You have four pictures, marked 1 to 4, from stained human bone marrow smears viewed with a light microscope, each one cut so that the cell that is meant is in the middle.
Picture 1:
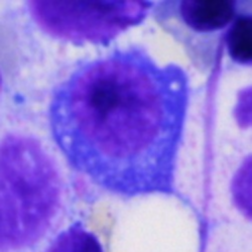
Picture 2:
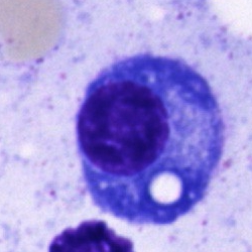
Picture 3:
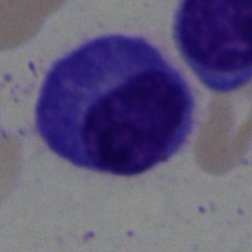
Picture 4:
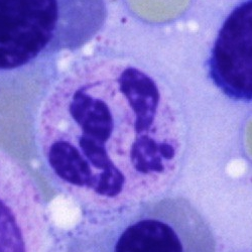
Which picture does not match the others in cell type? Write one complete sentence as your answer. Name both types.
Unlike the rest, which show plasma cells, picture 4 shows a segmented neutrophil.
